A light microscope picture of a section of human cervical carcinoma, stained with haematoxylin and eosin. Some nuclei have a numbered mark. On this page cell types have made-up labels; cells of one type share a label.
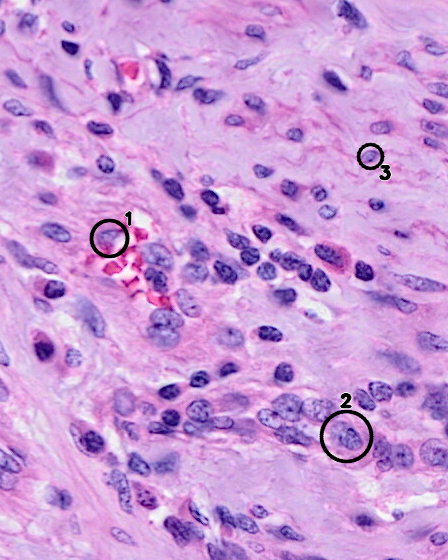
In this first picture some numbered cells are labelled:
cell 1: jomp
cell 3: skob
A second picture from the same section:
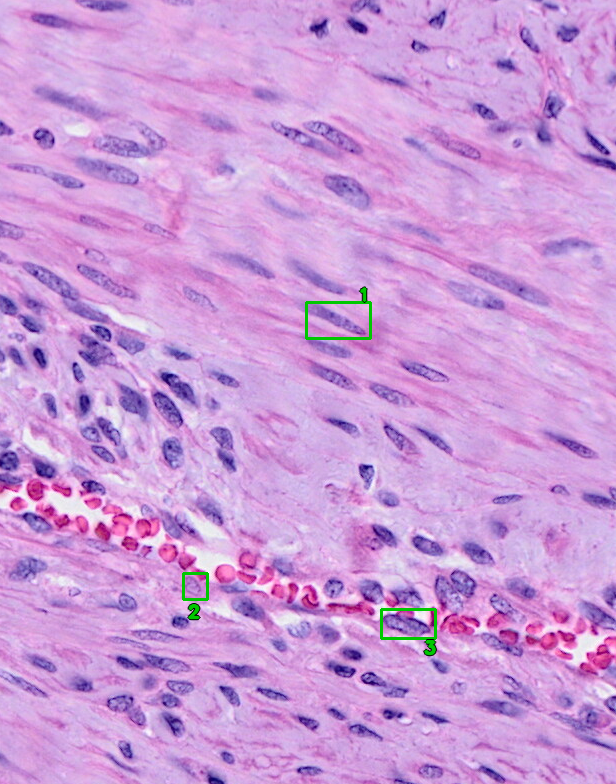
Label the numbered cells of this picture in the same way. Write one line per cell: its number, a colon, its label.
1: skob
2: jomp
3: jomp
